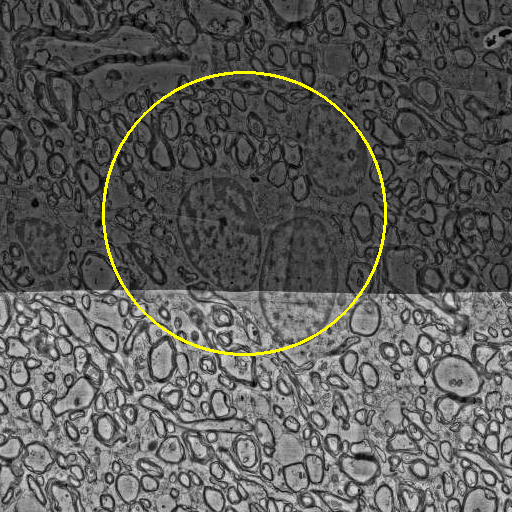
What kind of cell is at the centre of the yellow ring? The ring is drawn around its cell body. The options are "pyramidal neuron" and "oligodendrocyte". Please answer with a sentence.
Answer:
The yellow ring marks the cell body of an oligodendrocyte.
